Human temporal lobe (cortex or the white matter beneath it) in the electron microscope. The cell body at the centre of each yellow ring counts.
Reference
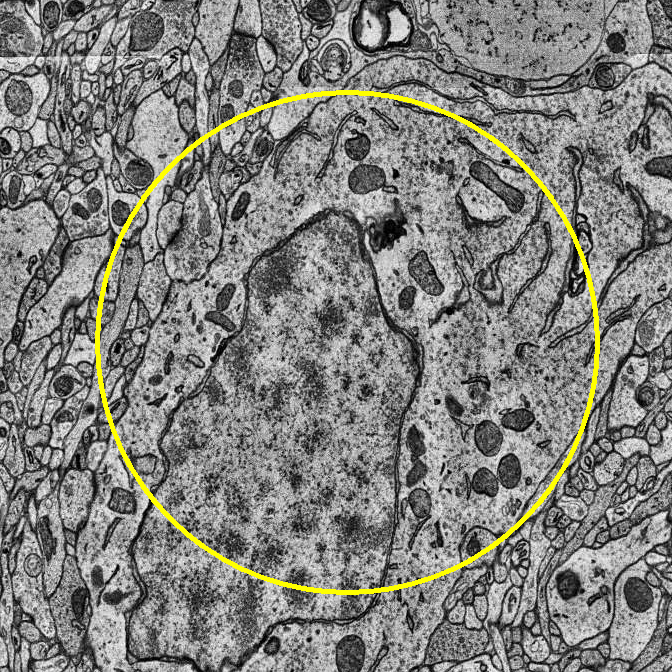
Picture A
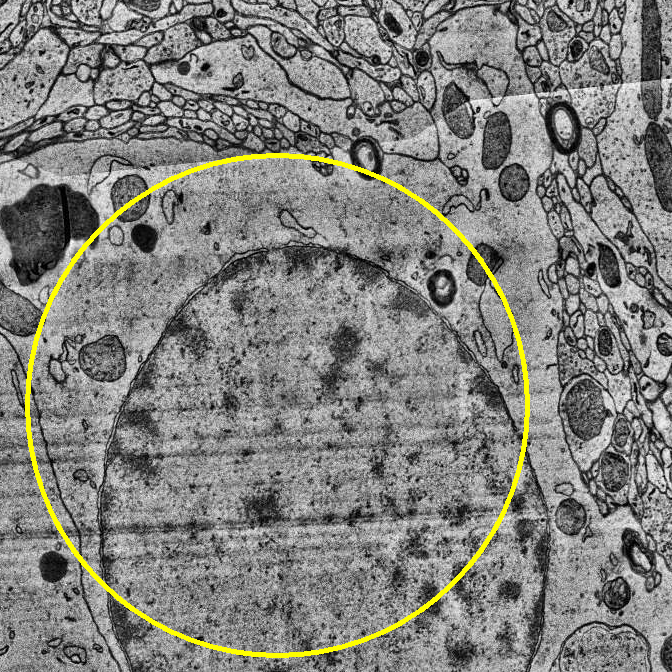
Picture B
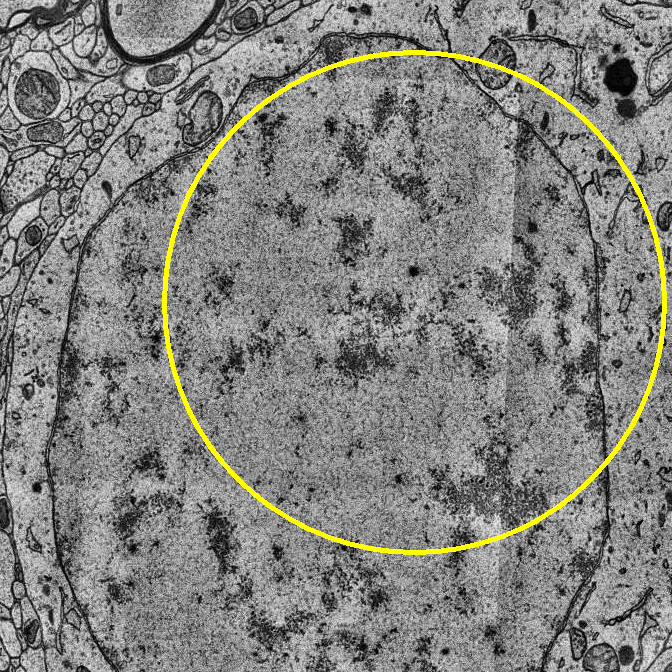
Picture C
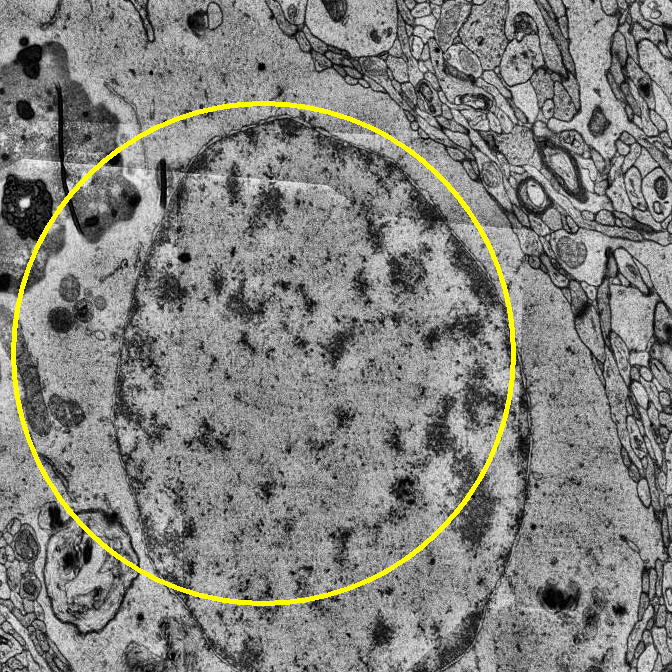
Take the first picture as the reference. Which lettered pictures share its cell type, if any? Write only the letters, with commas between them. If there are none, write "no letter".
no letter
